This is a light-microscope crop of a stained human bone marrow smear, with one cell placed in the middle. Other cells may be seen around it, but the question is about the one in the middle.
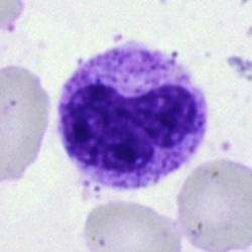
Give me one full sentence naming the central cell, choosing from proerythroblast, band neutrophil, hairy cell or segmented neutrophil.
The cell under consideration, at the middle of the crop, is a band neutrophil.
